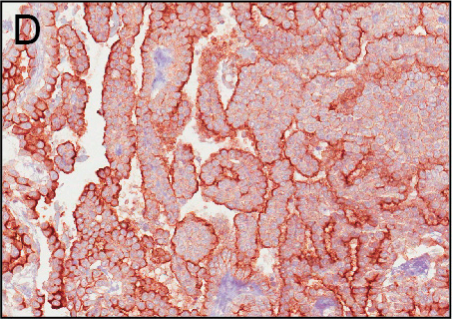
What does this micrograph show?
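This tumor tissue is made of closely packed tumor cells arranged in branching papillary fronds and tubule-like clusters separated by clear spaces. The cells are cuboidal to polygonal and fairly uniform, each with a round, pale blue nucleus. Almost every tumor cell in the field is stained. Small patches of blue-grey unstained material lie between some of the clusters, and pale, empty spaces separate the fronds.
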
